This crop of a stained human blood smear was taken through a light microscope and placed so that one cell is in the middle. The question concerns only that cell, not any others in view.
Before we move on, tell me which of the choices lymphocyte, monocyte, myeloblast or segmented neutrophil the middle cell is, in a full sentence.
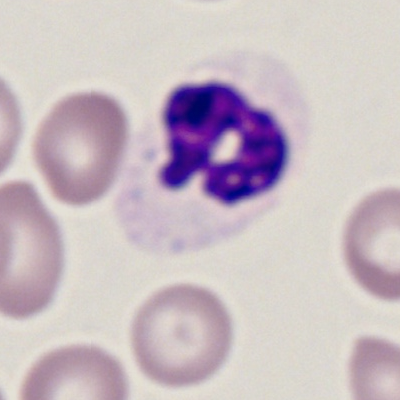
In the centre of this crop there is a segmented neutrophil.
